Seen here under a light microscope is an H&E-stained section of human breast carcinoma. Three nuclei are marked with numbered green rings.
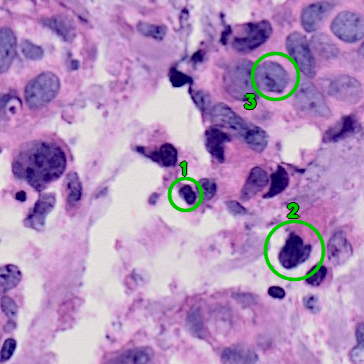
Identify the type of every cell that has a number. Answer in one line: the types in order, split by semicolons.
lymphocyte; carcinoma cell; carcinoma cell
